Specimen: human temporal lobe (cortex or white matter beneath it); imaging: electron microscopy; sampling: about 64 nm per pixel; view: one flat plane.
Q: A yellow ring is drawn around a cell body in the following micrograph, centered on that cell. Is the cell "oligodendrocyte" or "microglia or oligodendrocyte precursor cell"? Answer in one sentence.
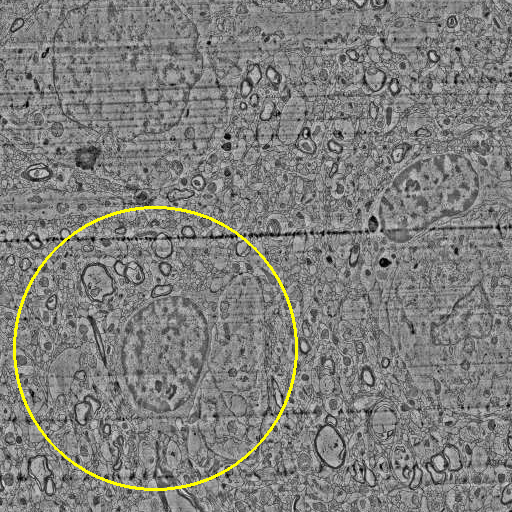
The cell in the center of the ring is an oligodendrocyte.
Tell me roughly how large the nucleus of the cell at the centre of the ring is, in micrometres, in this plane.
Approximately 8 x 5 micrometres in this plane.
